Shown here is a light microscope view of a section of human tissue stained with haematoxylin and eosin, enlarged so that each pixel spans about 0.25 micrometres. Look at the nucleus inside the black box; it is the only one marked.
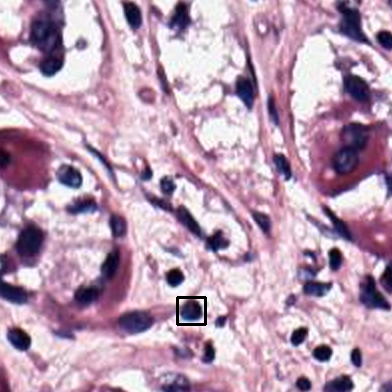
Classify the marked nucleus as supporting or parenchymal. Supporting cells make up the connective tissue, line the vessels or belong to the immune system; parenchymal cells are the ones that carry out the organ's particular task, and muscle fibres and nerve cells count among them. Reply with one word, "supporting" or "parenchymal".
supporting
